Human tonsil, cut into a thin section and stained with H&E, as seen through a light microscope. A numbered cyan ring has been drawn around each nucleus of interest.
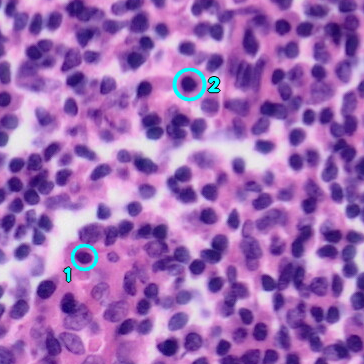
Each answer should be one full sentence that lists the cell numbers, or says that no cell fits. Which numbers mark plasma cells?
The nucleus labelled 2 alone belongs to a plasma cell; the other marked nuclei do not.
